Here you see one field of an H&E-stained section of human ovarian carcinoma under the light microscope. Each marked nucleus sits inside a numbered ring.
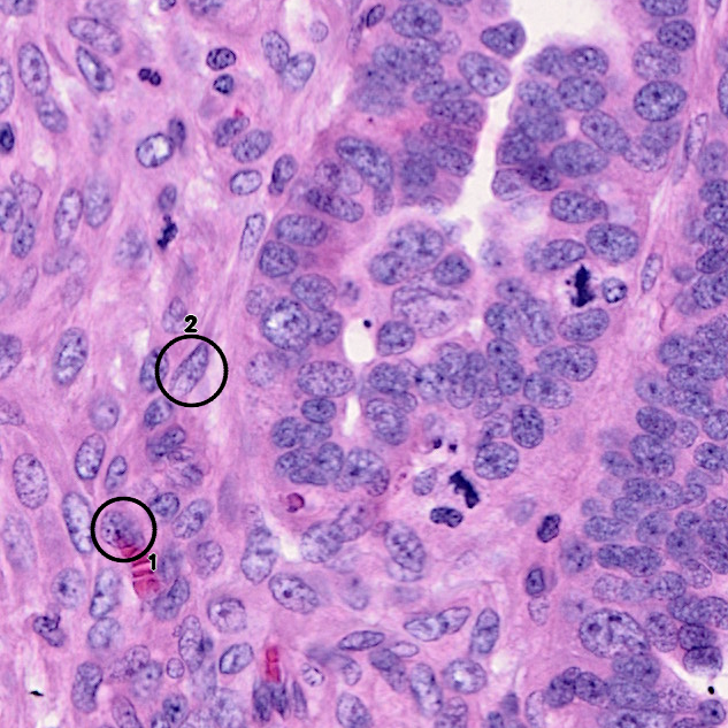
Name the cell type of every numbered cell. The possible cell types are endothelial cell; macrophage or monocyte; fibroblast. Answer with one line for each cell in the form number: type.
1: endothelial cell
2: fibroblast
